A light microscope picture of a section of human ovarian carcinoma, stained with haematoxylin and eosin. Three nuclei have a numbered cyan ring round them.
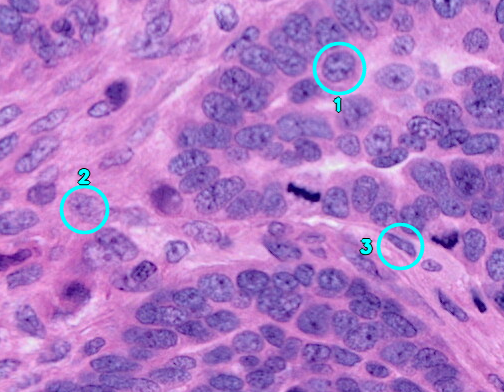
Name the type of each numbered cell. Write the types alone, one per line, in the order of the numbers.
carcinoma cell
fibroblast
fibroblast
